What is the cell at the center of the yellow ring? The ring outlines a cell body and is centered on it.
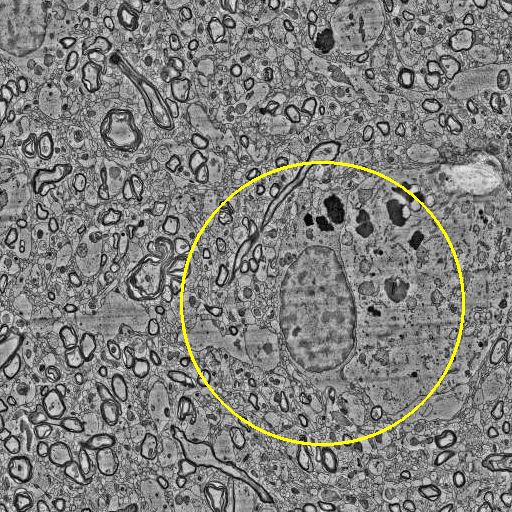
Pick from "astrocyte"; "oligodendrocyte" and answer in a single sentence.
The yellow ring is centered on an oligodendrocyte.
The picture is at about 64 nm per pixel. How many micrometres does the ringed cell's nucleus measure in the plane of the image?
At approximately 8 by 5 micrometres, the nucleus is clearly longer than it is wide in this plane.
